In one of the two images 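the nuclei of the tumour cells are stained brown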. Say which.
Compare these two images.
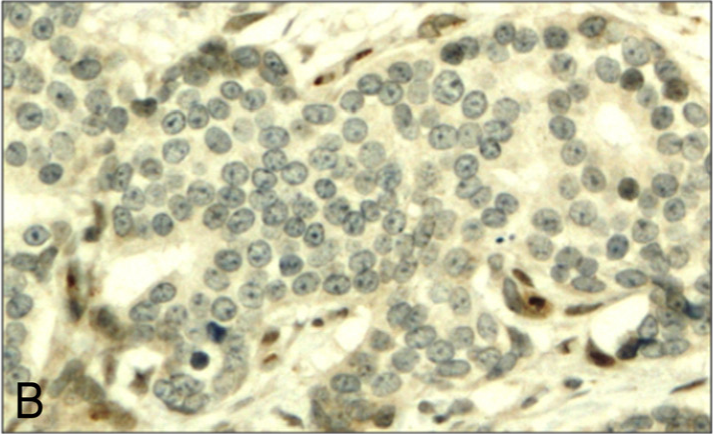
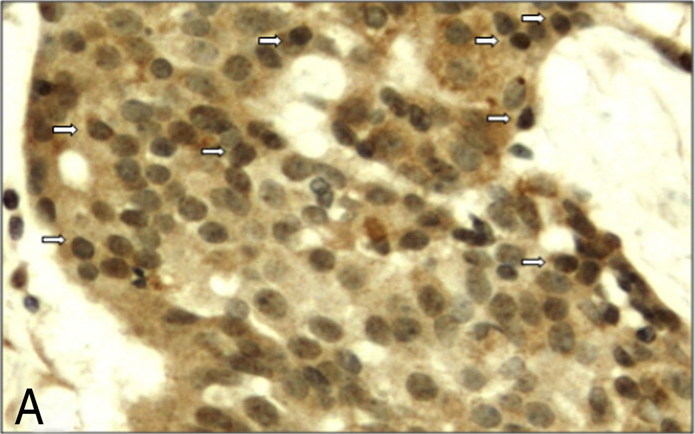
the second image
